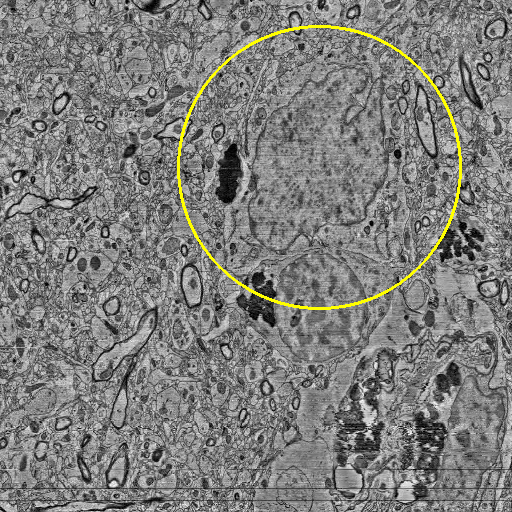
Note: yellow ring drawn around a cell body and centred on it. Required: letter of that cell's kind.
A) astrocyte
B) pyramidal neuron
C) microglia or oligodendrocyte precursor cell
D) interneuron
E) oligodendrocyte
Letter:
D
